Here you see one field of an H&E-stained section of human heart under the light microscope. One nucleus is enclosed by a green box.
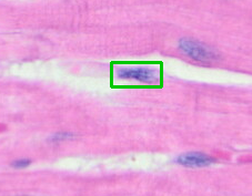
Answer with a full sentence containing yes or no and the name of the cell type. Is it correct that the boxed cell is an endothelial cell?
Yes, the boxed cell corresponds to an endothelial cell in this tissue.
